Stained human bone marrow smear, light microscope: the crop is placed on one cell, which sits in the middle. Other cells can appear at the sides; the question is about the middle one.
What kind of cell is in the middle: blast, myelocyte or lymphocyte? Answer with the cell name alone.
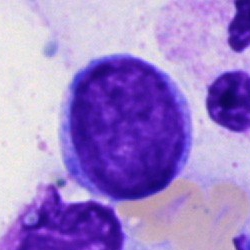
blast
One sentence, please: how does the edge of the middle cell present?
Nothing juts out from the margin, which is smooth throughout.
